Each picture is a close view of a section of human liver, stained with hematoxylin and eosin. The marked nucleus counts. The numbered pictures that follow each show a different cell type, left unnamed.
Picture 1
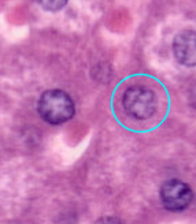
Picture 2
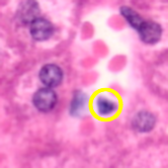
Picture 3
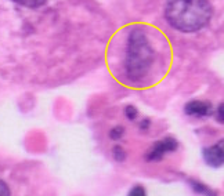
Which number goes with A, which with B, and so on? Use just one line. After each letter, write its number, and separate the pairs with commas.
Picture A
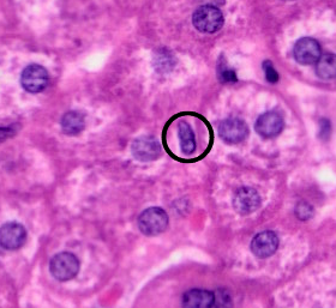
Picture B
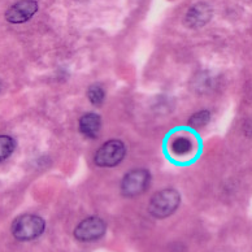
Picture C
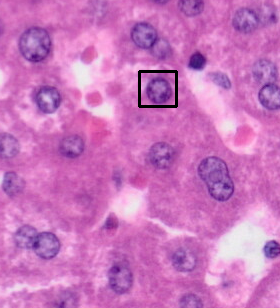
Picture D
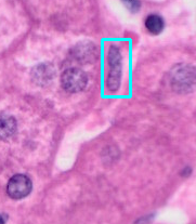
A 3, B 2, C 1, D 3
